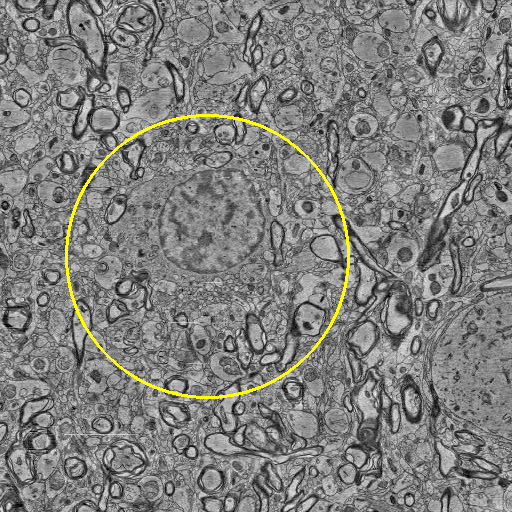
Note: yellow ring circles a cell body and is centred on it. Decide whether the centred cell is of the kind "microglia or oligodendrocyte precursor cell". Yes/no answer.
No, the centred cell is of another kind.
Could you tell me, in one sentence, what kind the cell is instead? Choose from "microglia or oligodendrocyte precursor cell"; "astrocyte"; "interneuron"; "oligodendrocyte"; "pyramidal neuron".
The cell circled by the yellow ring is an oligodendrocyte.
